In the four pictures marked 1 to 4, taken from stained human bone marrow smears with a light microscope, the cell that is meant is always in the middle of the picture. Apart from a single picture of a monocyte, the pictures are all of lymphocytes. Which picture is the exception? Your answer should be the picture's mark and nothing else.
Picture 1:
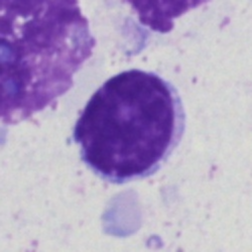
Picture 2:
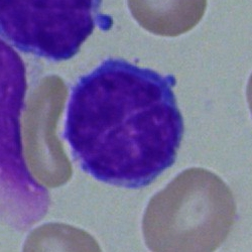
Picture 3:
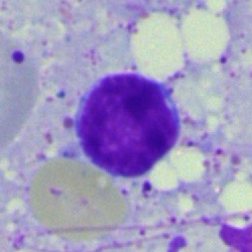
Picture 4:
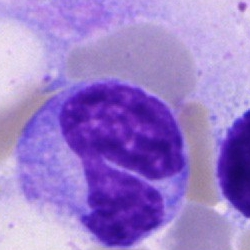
4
